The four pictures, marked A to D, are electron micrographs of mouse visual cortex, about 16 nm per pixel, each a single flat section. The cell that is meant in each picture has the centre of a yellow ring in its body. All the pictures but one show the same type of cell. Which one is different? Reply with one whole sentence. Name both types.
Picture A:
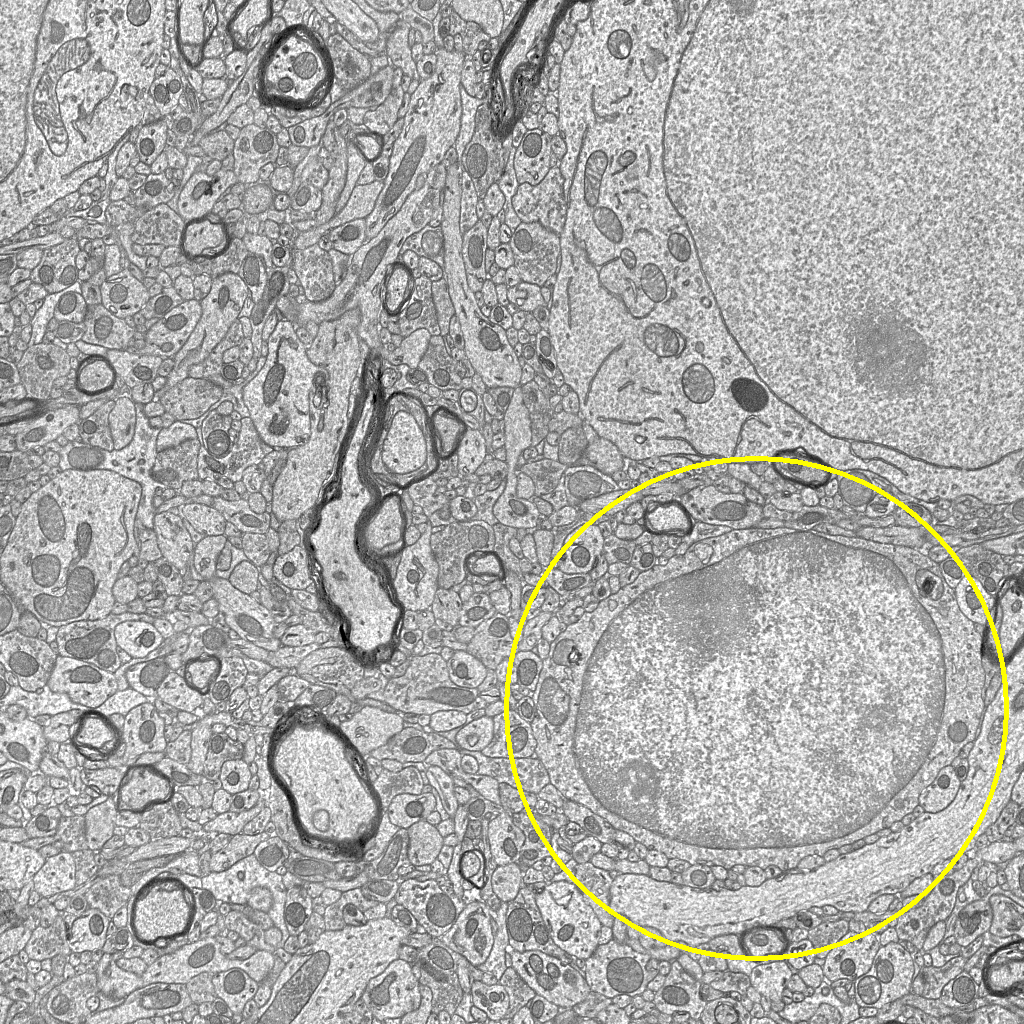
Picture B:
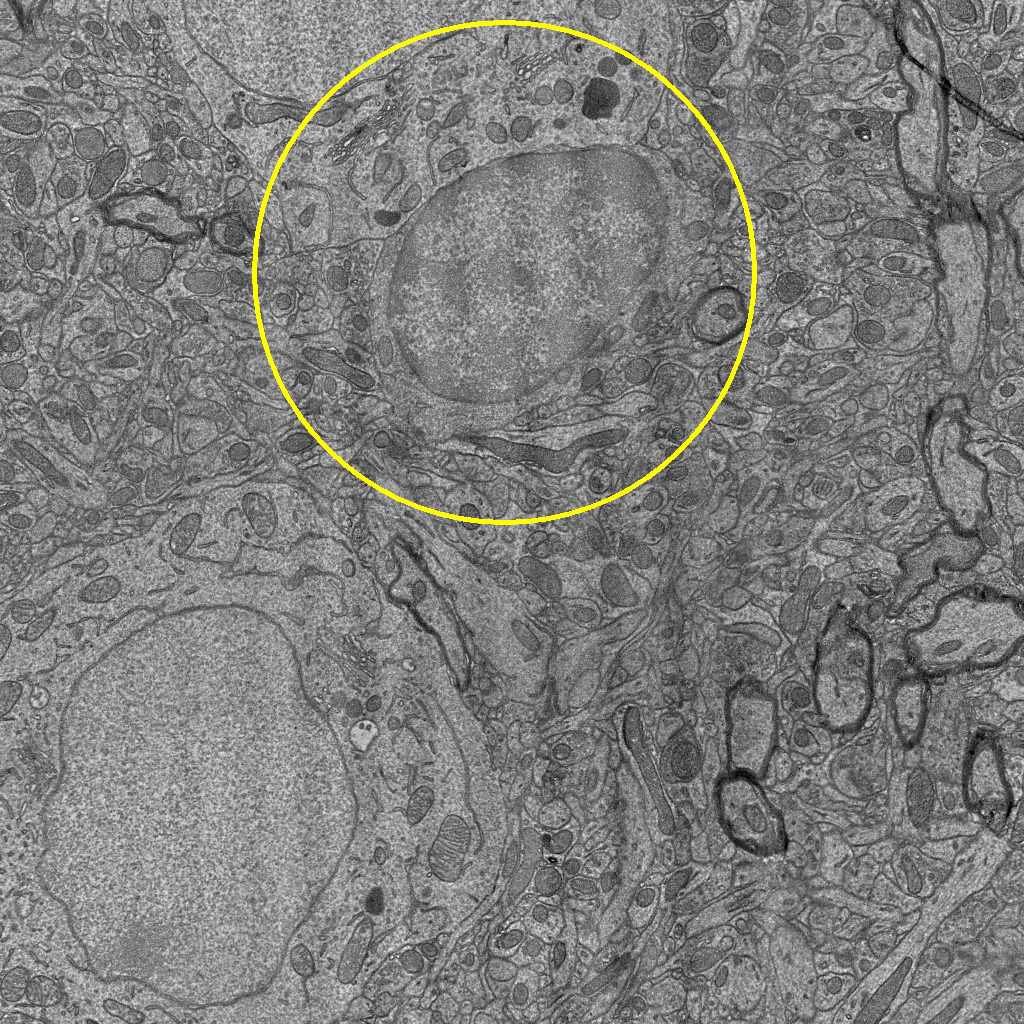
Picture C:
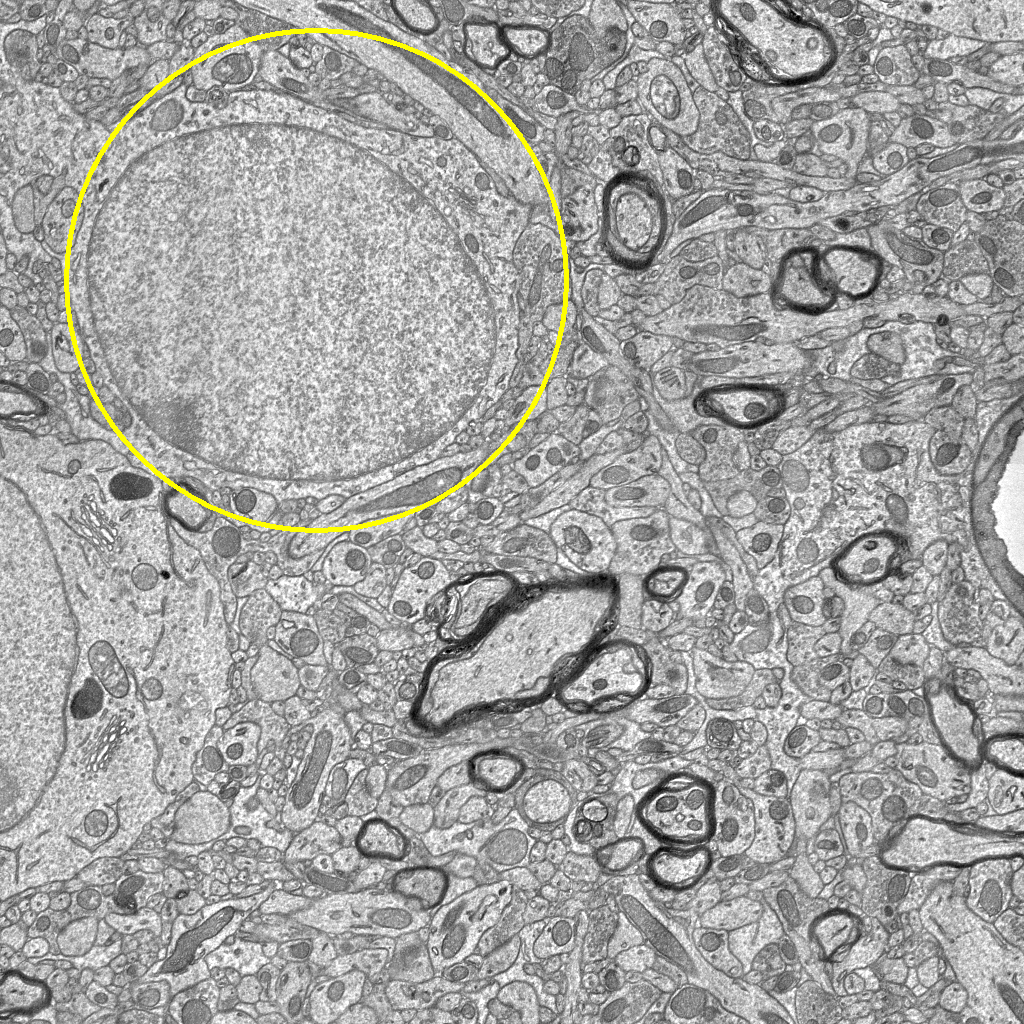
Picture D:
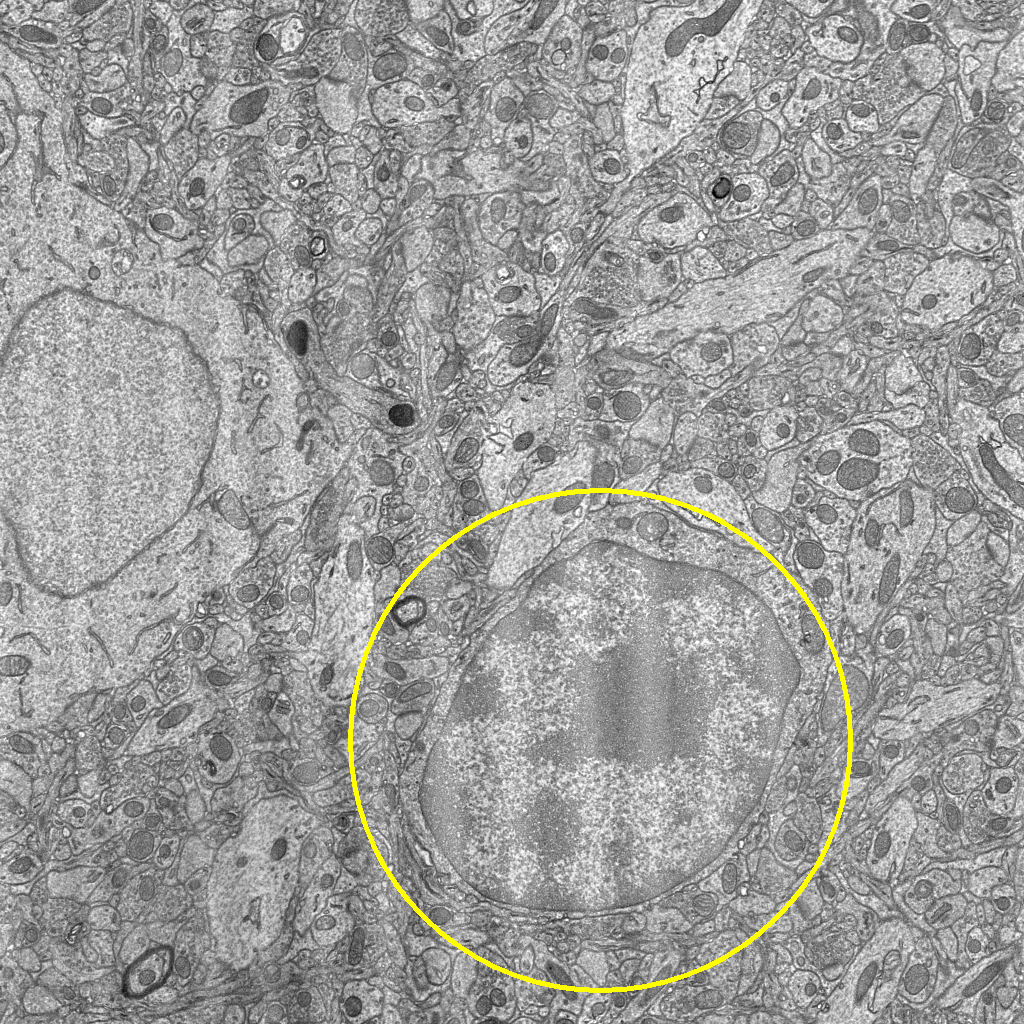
Picture C is the odd one out: it shows an astrocyte, while the others show oligodendrocytes.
